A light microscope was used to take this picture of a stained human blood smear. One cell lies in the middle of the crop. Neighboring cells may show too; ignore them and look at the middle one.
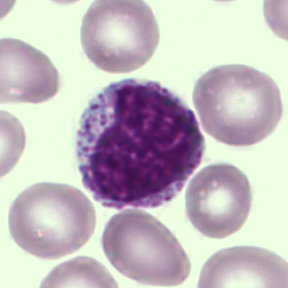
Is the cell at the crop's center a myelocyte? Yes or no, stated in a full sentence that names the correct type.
No, it isn't a myelocyte; what sits in the middle is a metamyelocyte.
